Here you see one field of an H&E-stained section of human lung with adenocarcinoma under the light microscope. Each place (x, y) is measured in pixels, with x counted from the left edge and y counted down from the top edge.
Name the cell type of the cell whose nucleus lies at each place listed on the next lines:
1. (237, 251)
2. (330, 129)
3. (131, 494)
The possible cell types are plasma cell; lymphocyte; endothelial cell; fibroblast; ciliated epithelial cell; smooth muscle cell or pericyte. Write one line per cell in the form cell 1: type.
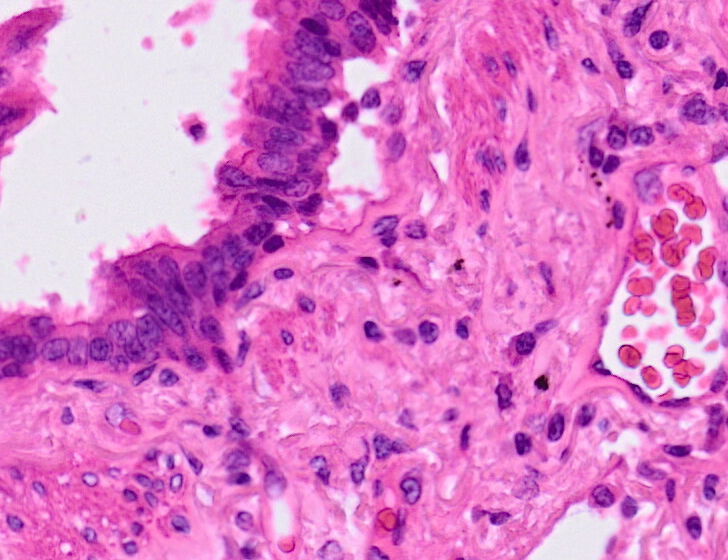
cell 1: ciliated epithelial cell
cell 2: ciliated epithelial cell
cell 3: smooth muscle cell or pericyte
